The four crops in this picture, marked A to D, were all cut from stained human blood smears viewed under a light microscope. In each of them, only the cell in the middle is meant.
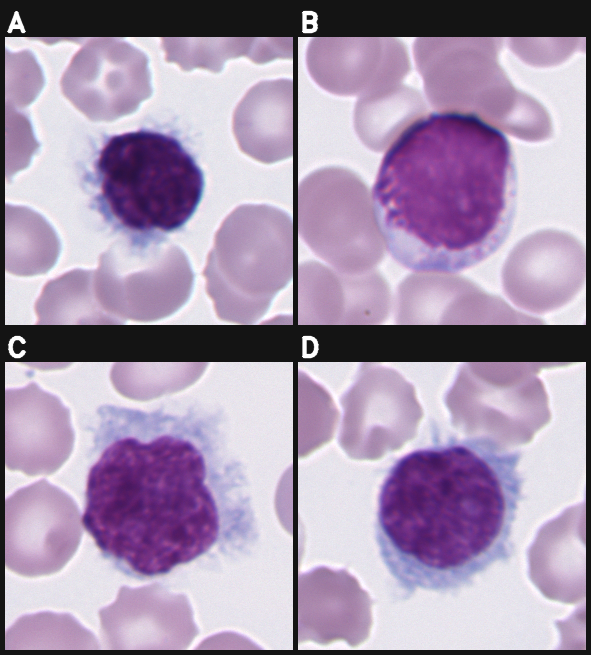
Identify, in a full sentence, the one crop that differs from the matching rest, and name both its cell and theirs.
All of the other crops show hairy cells, while crop B shows a large granular lymphocyte instead.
